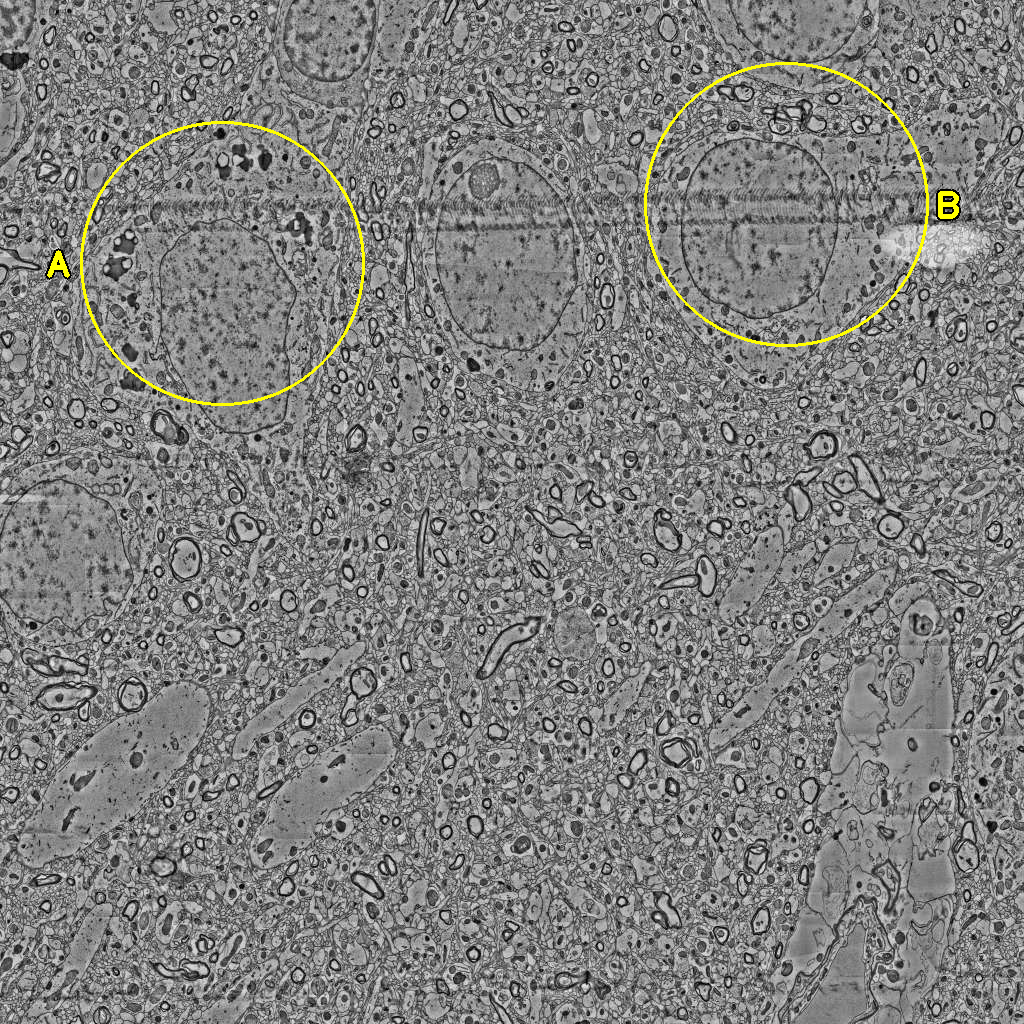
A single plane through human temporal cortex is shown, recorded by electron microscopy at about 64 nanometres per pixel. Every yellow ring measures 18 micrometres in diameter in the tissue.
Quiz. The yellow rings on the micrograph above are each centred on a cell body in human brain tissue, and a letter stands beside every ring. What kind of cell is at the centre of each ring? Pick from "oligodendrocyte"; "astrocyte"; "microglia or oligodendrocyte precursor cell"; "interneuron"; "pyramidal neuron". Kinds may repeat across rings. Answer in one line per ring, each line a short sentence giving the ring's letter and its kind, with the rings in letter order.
The ring labelled A has a pyramidal neuron at its centre.
The ring labelled B has a pyramidal neuron at its centre.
